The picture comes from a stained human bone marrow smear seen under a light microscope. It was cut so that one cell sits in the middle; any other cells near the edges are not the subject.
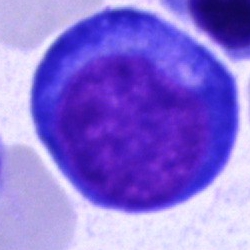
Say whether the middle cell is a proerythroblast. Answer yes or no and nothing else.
yes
